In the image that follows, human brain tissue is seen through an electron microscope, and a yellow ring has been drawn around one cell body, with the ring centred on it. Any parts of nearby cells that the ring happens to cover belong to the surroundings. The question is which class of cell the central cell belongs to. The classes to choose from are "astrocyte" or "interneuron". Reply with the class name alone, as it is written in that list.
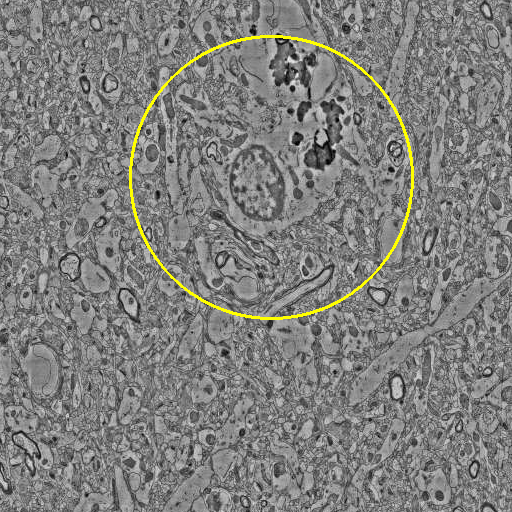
astrocyte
